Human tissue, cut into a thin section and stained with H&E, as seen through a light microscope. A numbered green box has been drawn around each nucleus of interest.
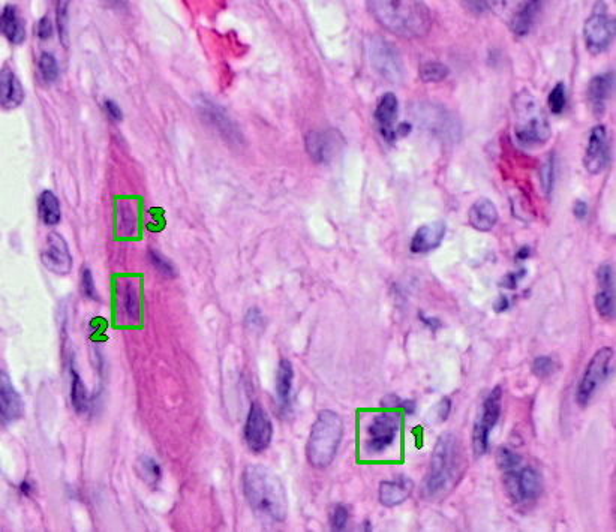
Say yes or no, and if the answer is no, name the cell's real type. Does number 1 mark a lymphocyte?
Yes.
